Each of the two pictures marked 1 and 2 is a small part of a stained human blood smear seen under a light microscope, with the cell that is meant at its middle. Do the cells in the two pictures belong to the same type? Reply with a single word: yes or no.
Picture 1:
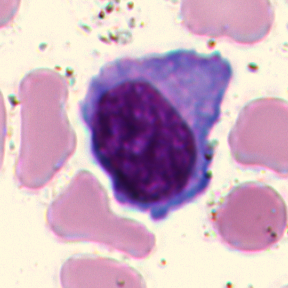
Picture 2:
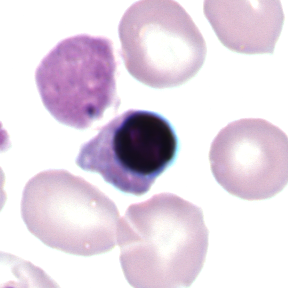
no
